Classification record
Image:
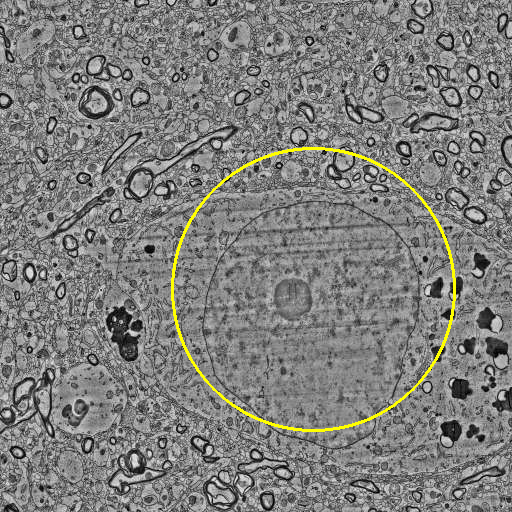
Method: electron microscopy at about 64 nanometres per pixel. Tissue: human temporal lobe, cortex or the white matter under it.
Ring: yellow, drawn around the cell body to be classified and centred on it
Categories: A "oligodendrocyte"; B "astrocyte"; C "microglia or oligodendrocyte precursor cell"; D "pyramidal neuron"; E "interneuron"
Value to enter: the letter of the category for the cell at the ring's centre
D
